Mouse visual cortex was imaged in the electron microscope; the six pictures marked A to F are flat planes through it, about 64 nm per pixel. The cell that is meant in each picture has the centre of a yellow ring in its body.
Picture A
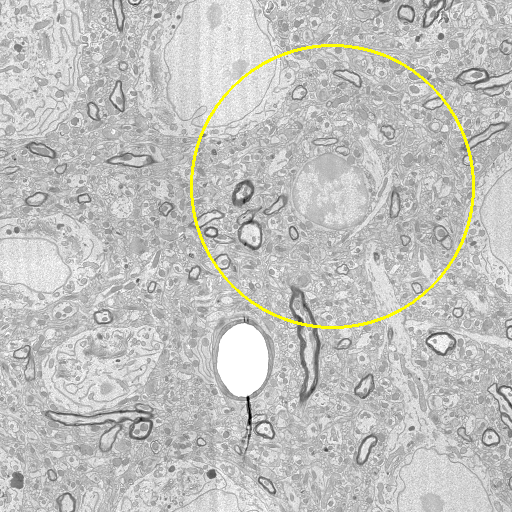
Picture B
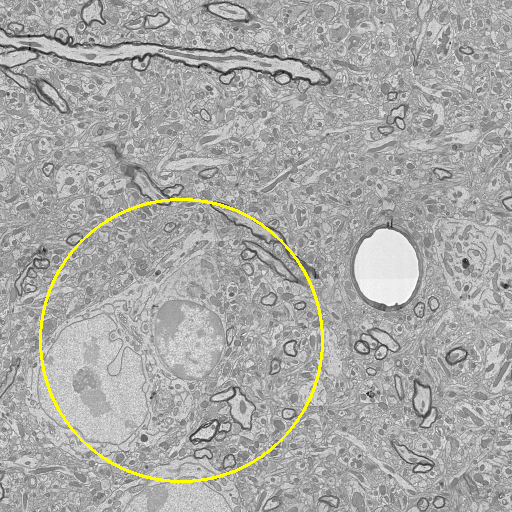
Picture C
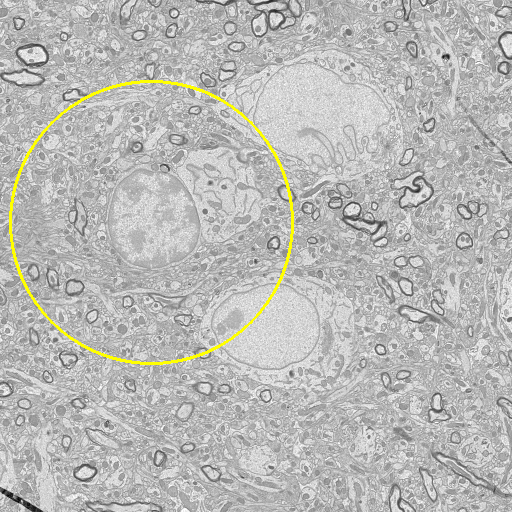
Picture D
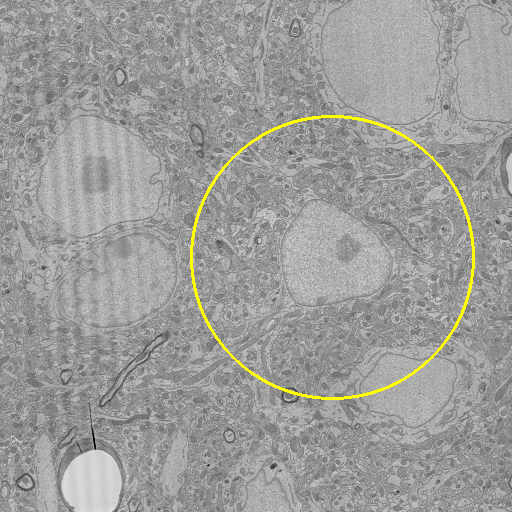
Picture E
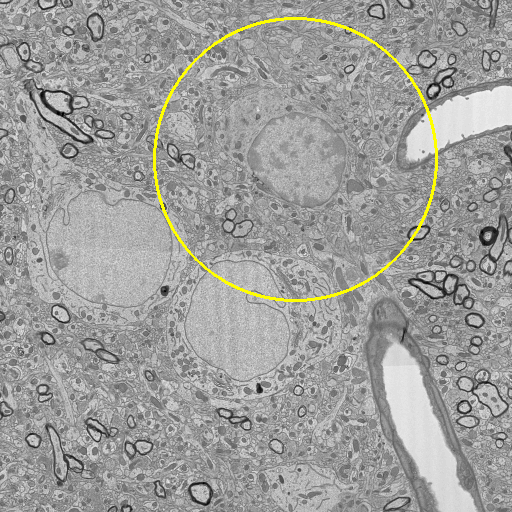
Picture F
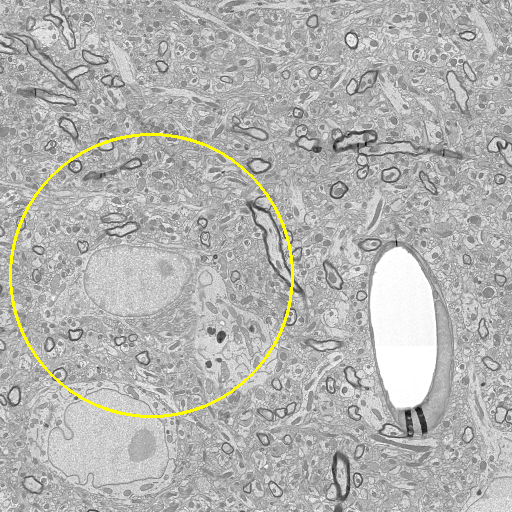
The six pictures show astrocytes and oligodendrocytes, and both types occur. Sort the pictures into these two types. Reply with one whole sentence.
Pictures D and F show astrocytes, while pictures A, B, C and E show oligodendrocytes.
